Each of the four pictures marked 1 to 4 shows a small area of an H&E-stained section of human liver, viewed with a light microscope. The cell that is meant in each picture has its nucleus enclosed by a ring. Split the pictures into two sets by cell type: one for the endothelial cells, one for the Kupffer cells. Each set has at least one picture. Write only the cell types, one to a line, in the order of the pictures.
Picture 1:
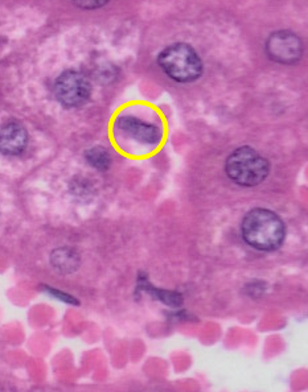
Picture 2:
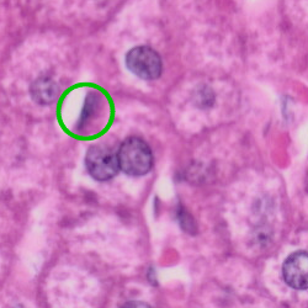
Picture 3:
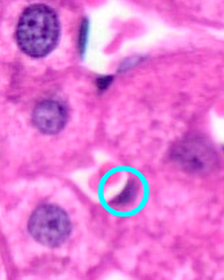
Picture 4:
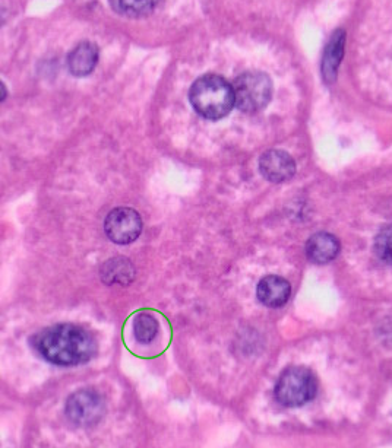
Kupffer cell
Kupffer cell
endothelial cell
Kupffer cell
